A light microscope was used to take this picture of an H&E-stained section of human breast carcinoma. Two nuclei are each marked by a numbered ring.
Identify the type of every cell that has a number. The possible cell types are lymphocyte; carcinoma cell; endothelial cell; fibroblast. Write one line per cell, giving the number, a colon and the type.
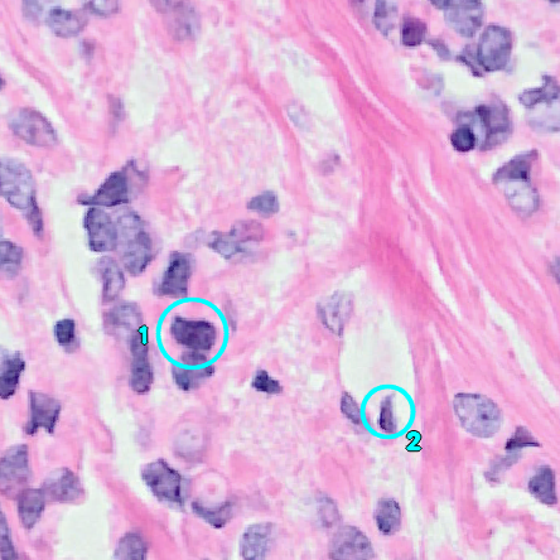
1: carcinoma cell
2: fibroblast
